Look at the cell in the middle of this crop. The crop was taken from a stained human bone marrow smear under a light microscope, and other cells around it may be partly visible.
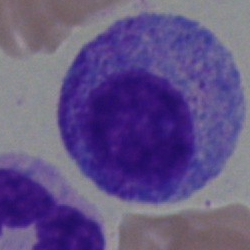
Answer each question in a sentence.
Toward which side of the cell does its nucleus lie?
The nucleus lies toward the lower left of the cell.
